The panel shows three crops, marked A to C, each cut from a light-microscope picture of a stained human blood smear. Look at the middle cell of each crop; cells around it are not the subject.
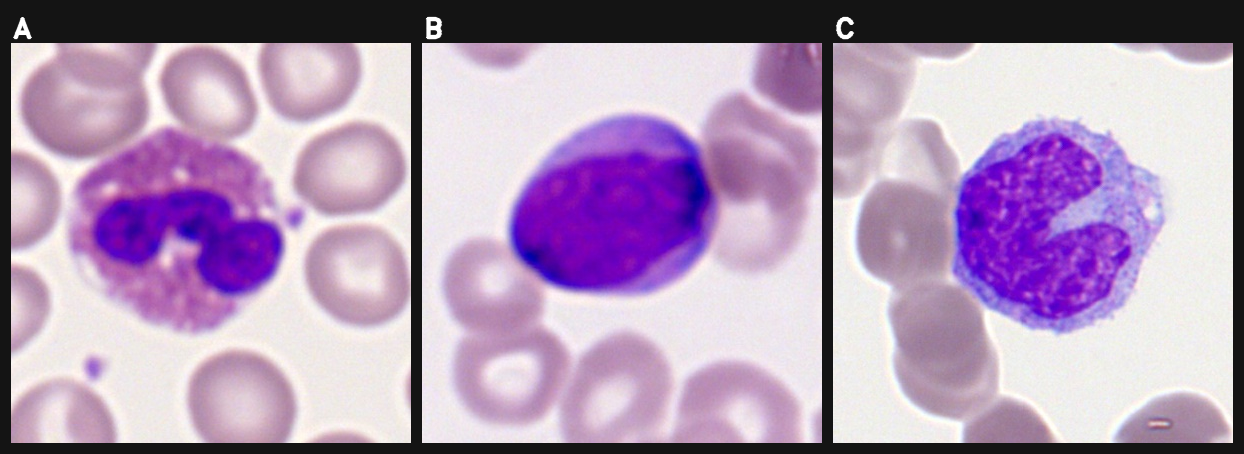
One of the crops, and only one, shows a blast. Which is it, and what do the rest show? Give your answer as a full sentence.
Crop B proves to be a blast, while crop A is an eosinophil and crop C is a monocyte.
